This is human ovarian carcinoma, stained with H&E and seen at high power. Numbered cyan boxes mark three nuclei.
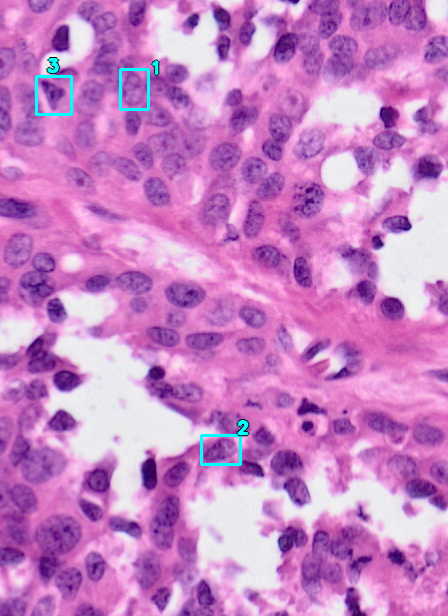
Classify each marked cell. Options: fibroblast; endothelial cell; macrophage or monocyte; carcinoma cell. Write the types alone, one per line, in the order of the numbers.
carcinoma cell
carcinoma cell
macrophage or monocyte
